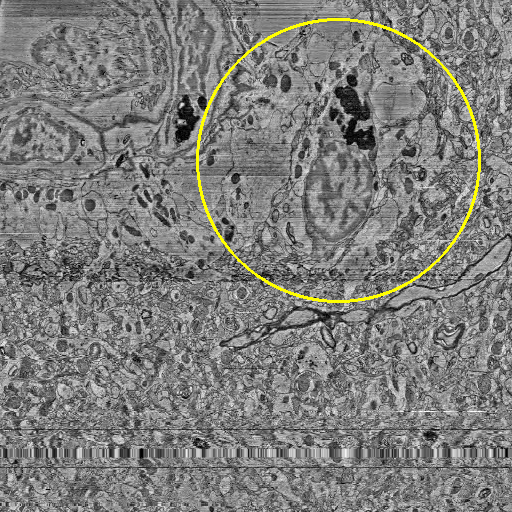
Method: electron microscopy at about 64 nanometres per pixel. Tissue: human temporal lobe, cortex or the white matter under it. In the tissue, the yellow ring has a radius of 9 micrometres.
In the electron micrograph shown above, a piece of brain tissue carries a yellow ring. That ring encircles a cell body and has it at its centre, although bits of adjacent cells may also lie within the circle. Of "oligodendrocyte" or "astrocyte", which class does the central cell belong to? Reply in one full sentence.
The cell body at the centre of the yellow ring belongs to an oligodendrocyte.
